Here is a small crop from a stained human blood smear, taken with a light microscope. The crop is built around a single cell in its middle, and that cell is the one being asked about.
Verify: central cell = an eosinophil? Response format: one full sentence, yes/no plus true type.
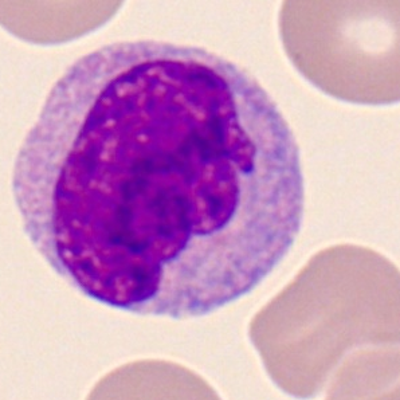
No, not an eosinophil here; the centered cell is a monocyte.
